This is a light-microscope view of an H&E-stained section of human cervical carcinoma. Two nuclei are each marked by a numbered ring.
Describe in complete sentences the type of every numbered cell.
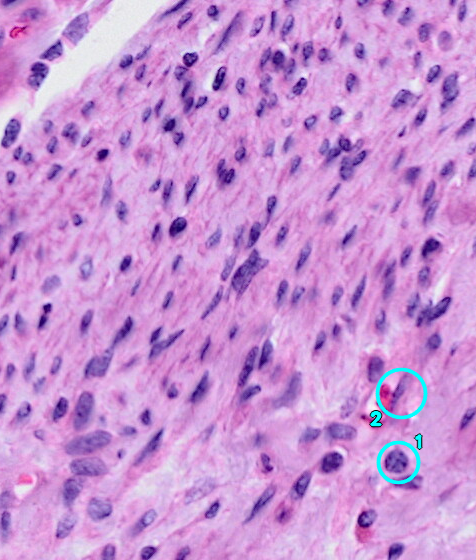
Cell 1 is a lymphocyte. Cell 2 is an endothelial cell.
